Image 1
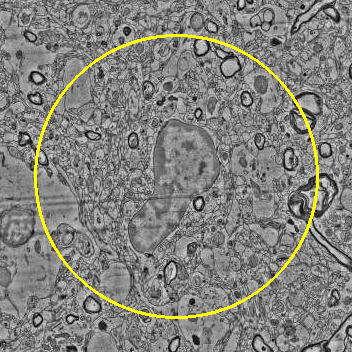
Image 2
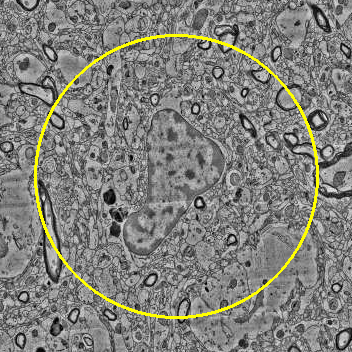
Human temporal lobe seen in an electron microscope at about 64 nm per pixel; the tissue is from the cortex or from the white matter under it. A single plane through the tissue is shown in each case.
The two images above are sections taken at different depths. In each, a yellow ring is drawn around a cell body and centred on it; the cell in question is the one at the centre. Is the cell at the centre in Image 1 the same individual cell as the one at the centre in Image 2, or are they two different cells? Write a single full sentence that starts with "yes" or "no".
Yes, the cell inside the first ring is the cell inside the second.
